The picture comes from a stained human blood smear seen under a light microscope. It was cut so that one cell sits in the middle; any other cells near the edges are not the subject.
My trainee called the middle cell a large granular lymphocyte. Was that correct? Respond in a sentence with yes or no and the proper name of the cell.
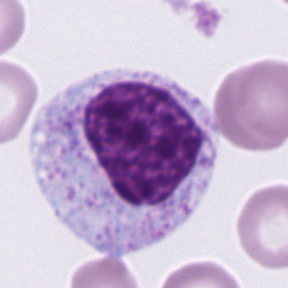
No, the cell positioned in the middle is a myelocyte, not a large granular lymphocyte.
